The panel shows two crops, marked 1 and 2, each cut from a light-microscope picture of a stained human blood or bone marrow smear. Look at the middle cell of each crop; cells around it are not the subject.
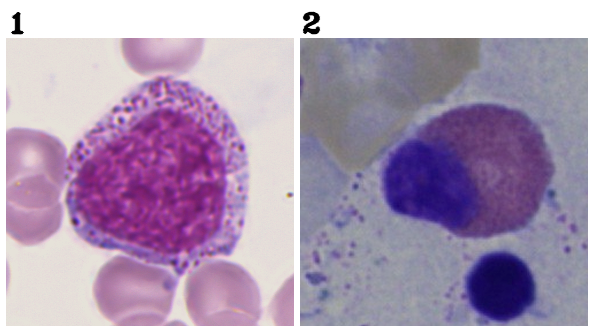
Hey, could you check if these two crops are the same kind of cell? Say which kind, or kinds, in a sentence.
No, crop 1 is the one with a promyelocyte; crop 2 has an eosinophil.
